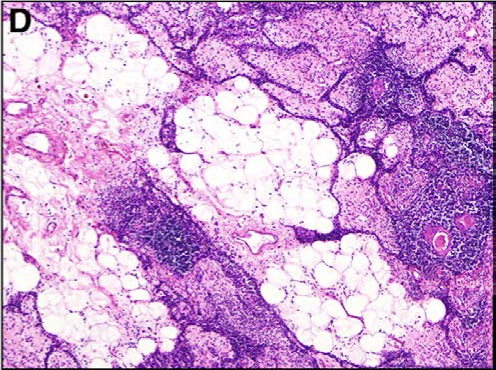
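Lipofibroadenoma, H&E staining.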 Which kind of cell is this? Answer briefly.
Fat cell.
